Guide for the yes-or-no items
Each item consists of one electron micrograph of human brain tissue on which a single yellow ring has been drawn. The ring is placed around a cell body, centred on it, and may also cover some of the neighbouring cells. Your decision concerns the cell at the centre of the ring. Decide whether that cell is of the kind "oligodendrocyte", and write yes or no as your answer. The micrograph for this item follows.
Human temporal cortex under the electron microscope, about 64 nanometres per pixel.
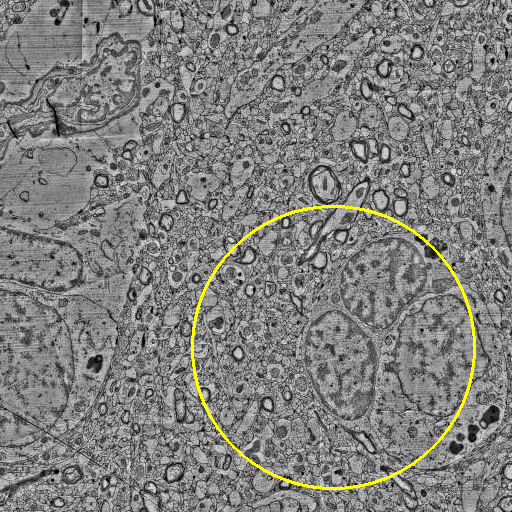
yes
